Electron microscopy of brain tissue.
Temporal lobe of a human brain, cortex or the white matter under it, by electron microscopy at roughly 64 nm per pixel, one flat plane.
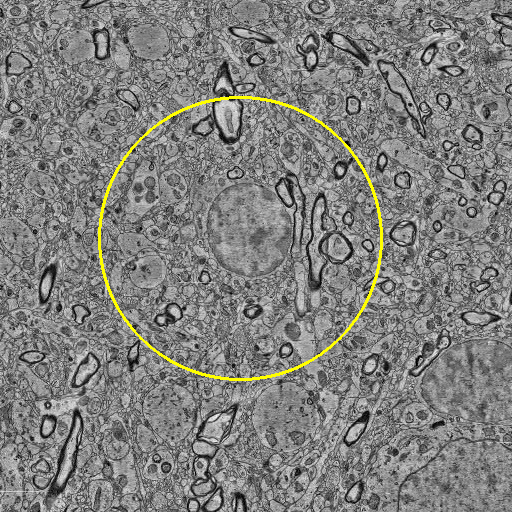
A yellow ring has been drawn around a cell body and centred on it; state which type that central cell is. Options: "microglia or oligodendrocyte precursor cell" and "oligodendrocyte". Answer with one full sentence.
The cell at the middle of the yellow ring is an oligodendrocyte in this picture.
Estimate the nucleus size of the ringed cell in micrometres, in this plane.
About 6 micrometres across, as seen in this plane.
